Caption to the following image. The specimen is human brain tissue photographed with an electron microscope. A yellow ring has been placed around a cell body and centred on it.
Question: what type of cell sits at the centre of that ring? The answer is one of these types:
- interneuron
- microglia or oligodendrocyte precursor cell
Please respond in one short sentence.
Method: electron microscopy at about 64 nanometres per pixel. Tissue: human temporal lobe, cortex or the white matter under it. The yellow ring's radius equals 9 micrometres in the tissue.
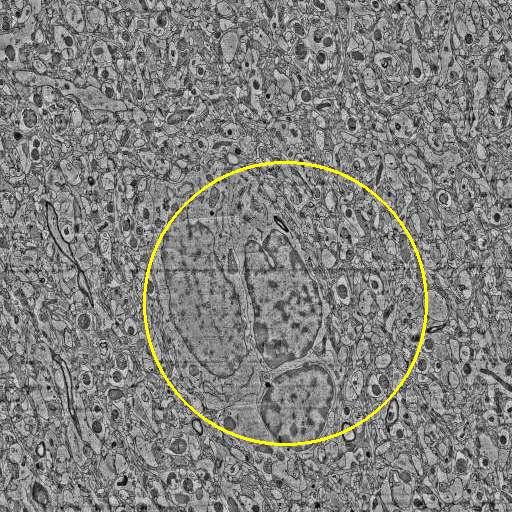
The ring surrounds the cell body of a microglial cell or oligodendrocyte precursor cell.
